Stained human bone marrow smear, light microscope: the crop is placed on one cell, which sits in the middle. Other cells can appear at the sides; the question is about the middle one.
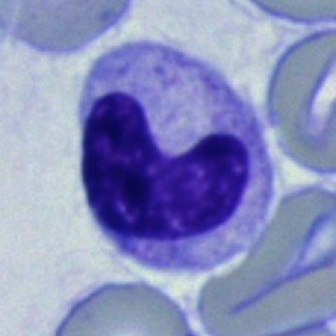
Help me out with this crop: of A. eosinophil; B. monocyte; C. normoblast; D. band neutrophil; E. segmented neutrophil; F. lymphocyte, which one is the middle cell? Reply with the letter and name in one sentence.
Option D is the right one, for the cell in the middle is a band neutrophil.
